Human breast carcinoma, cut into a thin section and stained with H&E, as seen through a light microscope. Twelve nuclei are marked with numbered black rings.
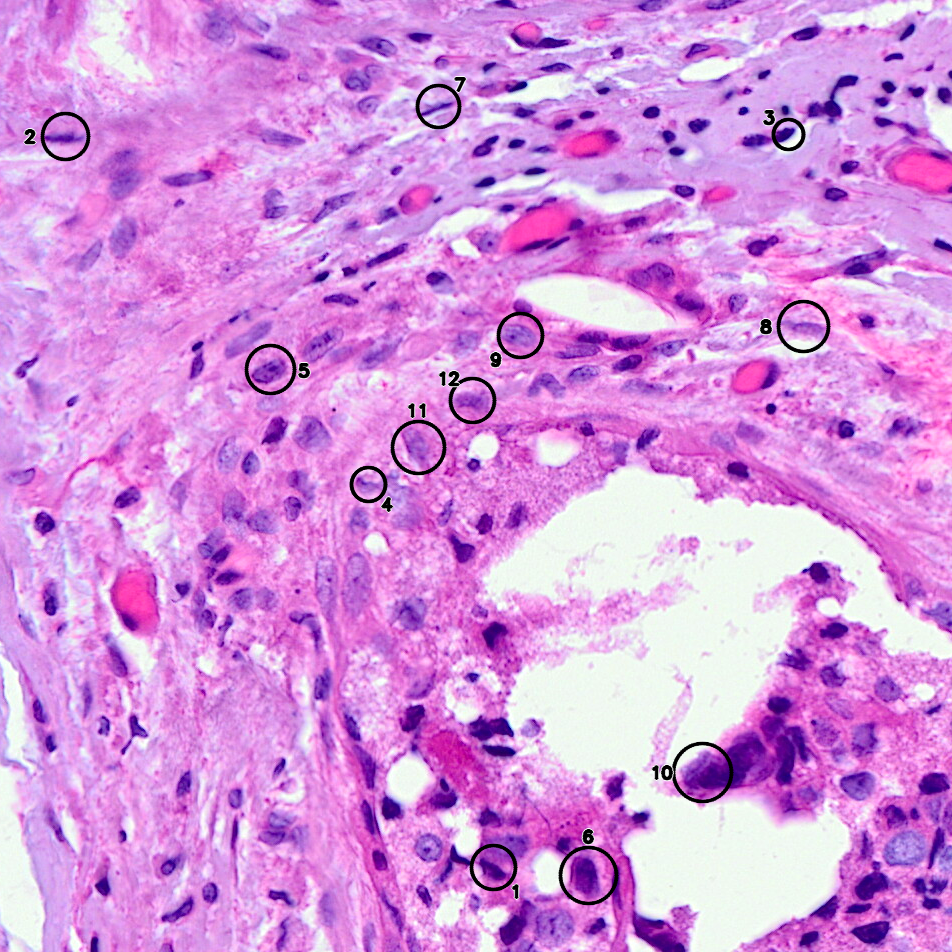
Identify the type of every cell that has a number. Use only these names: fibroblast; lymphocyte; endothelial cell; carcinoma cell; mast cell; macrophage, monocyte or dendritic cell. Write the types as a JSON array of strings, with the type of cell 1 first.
["carcinoma cell", "fibroblast", "lymphocyte", "macrophage, monocyte or dendritic cell", "macrophage, monocyte or dendritic cell", "carcinoma cell", "fibroblast", "fibroblast", "endothelial cell", "carcinoma cell", "fibroblast", "fibroblast"]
